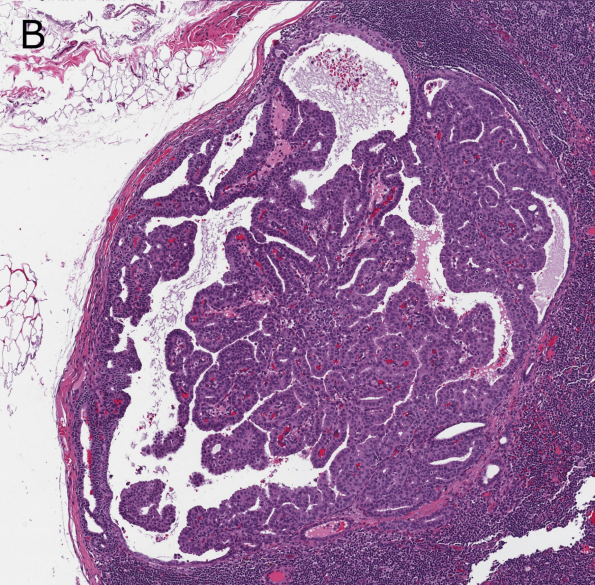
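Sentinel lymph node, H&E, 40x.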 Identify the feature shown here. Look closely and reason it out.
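Papillary architecture. Branching fronds of epithelium project into a cystic space. The fronds have thin central cores with small vessels. Lymphoid tissue lies around the nodule.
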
